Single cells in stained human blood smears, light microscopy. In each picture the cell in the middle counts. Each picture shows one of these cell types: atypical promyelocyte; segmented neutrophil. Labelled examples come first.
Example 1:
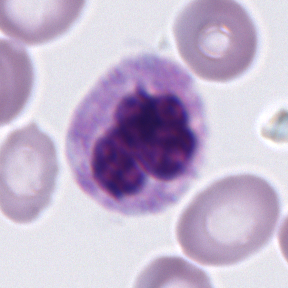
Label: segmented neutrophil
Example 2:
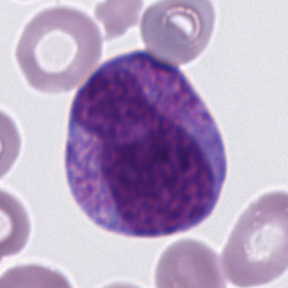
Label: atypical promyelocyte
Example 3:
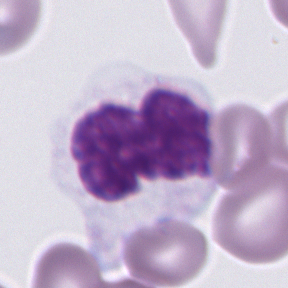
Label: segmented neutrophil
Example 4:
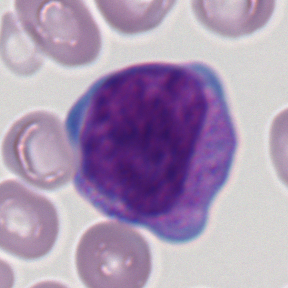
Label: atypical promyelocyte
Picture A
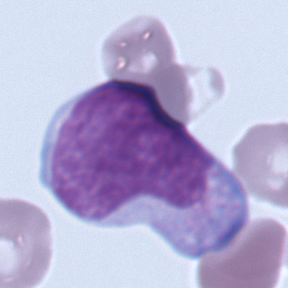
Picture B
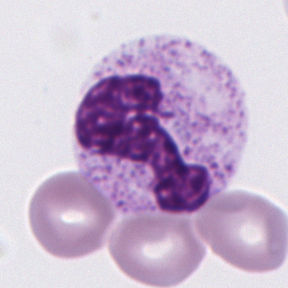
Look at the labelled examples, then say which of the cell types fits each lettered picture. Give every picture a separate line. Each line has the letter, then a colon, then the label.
A: atypical promyelocyte
B: segmented neutrophil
